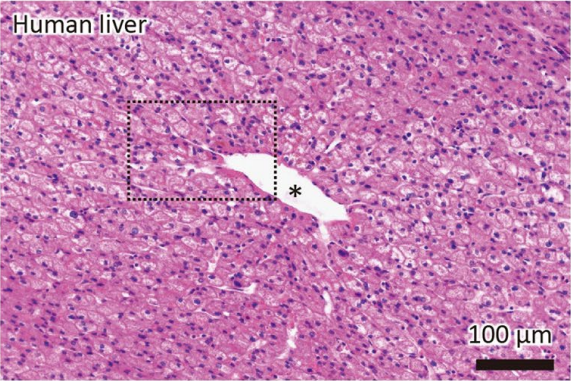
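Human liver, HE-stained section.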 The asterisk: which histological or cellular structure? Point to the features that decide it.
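The lumen is much wider than the narrow spaces between the surrounding cell cords.
Hence: large vascular channel.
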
